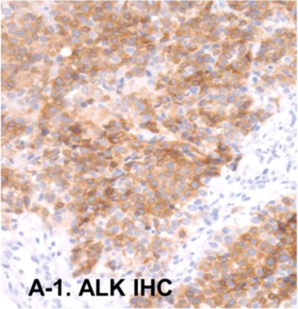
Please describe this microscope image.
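This is a section of a tumour in which densely packed tumour cells form broad sheets and nests. The tumour cells have round to oval nuclei counterstained blue, and their cytoplasm takes up a strong brown stain that outlines each cell. Between the nests runs a paler, looser stroma with scattered slender nuclei that stays largely unstained.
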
